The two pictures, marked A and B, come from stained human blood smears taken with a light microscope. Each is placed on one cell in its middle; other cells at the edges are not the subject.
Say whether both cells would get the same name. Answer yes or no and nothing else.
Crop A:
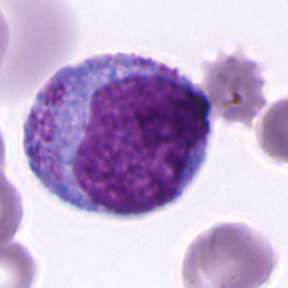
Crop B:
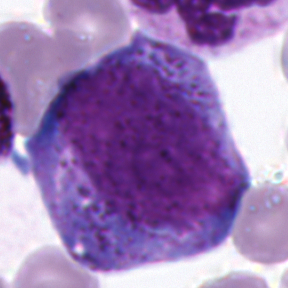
yes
